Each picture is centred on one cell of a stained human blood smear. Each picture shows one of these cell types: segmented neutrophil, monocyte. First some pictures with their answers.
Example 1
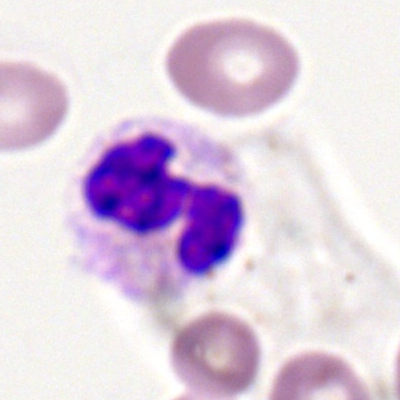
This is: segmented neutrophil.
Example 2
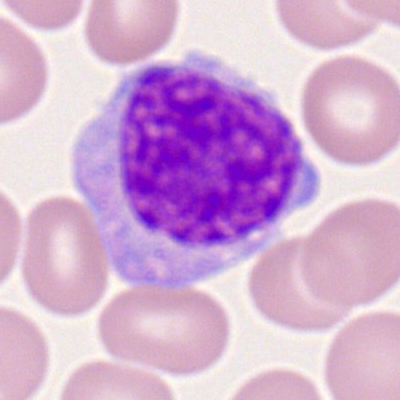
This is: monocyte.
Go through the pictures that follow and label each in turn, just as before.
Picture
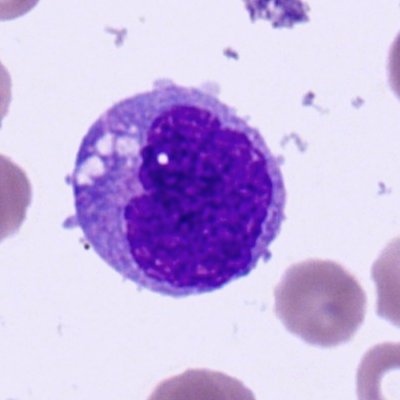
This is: monocyte.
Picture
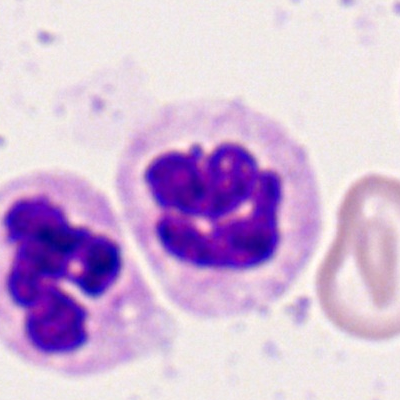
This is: segmented neutrophil.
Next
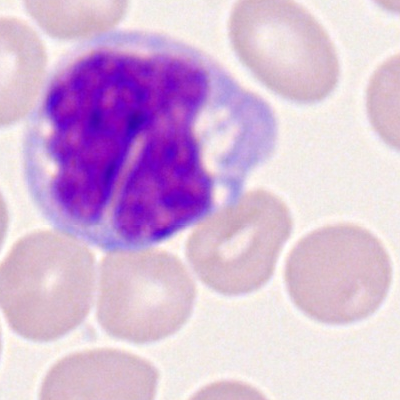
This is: monocyte.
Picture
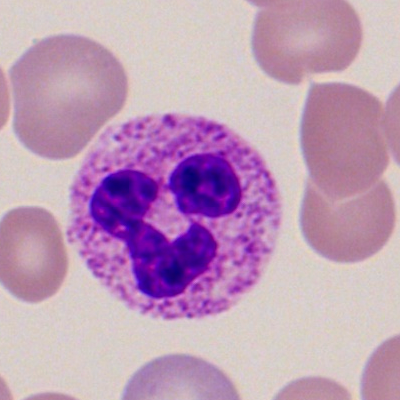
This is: segmented neutrophil.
